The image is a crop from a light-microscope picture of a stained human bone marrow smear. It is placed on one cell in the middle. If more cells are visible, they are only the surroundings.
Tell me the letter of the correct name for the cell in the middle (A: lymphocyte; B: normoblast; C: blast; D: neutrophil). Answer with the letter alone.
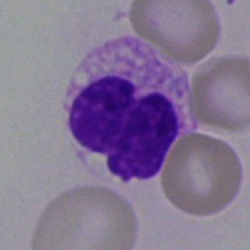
D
